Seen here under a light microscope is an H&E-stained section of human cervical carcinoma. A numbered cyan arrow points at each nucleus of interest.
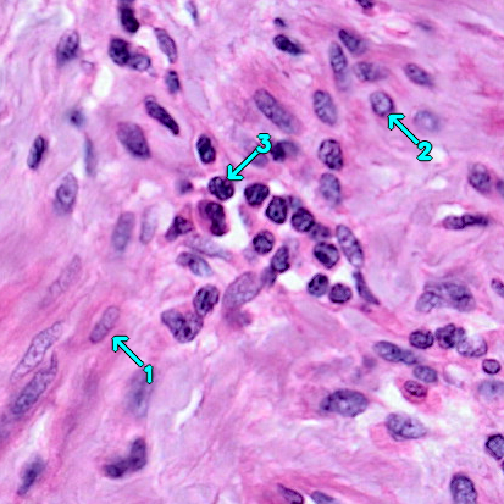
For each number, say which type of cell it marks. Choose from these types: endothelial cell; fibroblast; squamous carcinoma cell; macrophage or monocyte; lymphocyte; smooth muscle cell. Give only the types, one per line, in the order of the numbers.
smooth muscle cell
smooth muscle cell
lymphocyte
